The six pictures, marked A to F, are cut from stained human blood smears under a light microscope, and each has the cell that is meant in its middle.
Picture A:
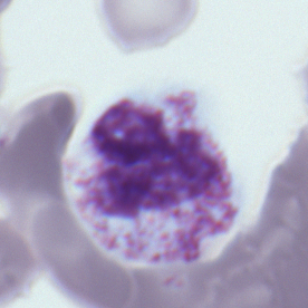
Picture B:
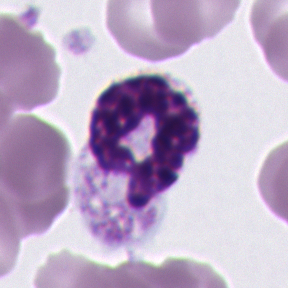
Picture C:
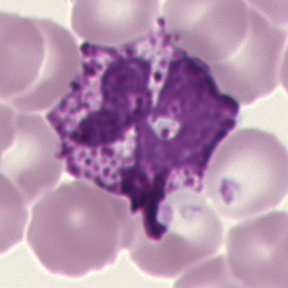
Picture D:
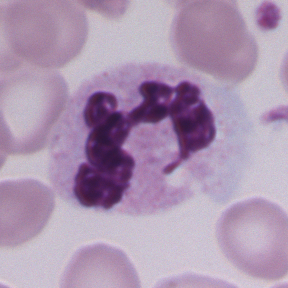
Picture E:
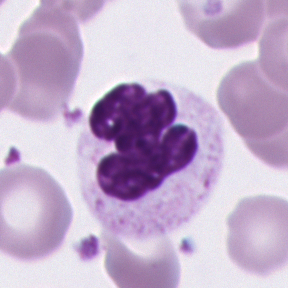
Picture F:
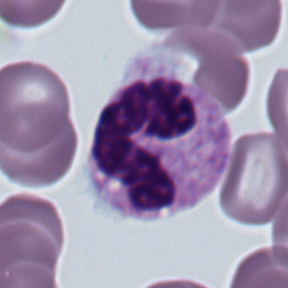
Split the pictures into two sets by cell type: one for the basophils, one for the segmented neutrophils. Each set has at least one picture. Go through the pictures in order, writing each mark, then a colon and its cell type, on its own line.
A: basophil
B: segmented neutrophil
C: basophil
D: segmented neutrophil
E: segmented neutrophil
F: segmented neutrophil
